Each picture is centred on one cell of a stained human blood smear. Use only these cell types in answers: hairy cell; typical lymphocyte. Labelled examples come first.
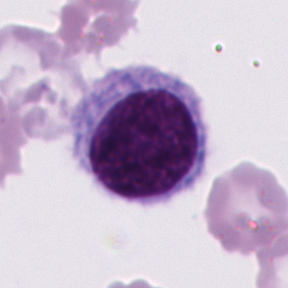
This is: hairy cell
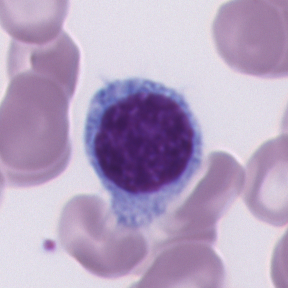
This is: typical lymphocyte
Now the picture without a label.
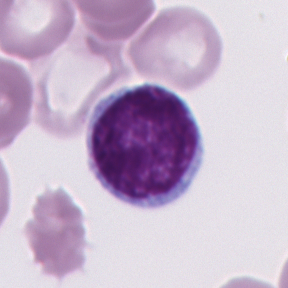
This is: typical lymphocyte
